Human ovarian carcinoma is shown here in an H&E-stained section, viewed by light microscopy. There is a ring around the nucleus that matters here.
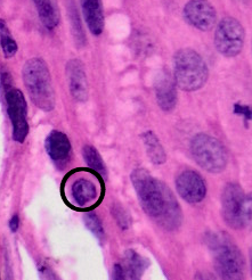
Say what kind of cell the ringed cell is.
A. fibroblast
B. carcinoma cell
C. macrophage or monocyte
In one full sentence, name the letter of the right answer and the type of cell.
On this slide, the ringed cell is a macrophage or monocyte, so option C is right.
